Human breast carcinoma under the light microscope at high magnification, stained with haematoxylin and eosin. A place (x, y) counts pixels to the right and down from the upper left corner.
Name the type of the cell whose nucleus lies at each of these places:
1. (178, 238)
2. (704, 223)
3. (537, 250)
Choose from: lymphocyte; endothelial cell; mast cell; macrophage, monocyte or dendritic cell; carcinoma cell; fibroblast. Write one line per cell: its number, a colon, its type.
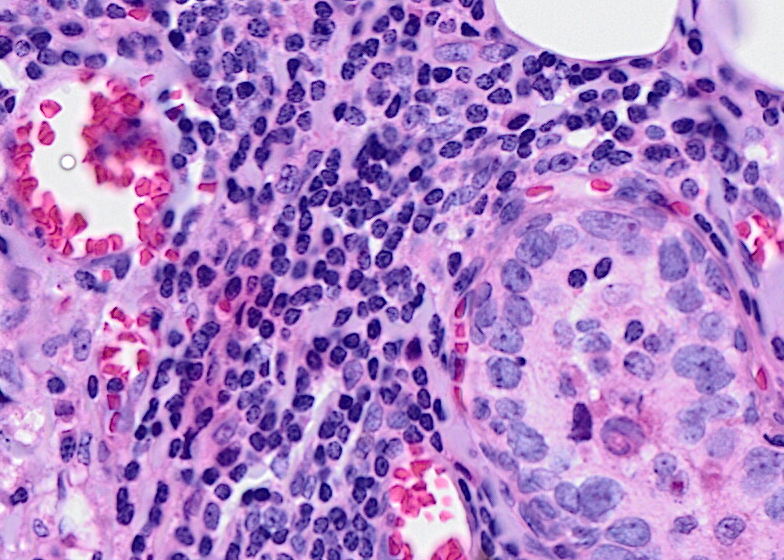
1: lymphocyte
2: lymphocyte
3: carcinoma cell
